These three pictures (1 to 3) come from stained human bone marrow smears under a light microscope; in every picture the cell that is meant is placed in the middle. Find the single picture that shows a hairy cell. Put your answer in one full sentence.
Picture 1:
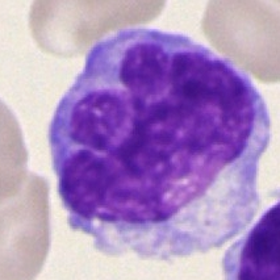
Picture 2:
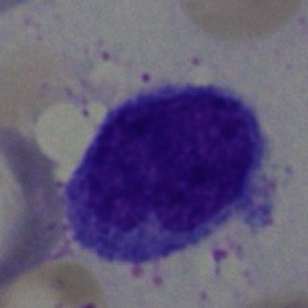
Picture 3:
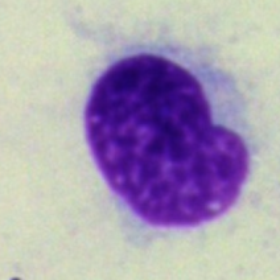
The cell in picture 3 is the hairy cell.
